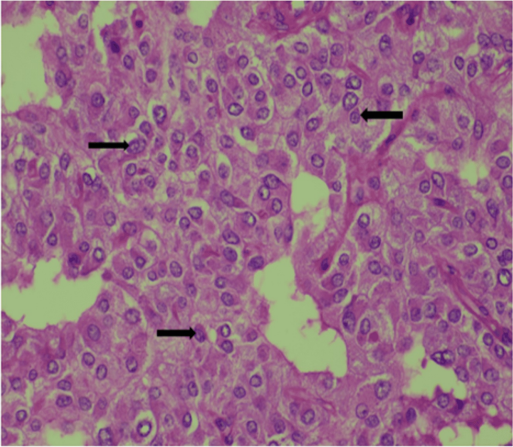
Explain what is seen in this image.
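The cells look much alike, each with a round to oval purple nucleus, many with a visible small nucleolus. Around each nucleus lies a fair amount of pink, finely granular cytoplasm, and the cell borders are indistinct. Thin pink strands of stroma and a few clear spaces run between the groups of cells.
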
